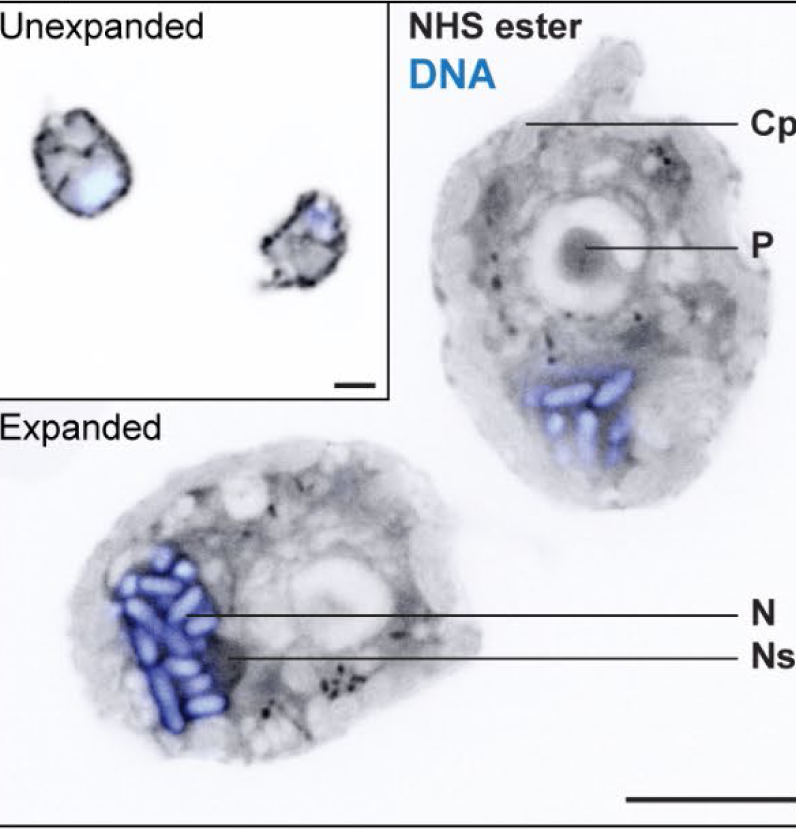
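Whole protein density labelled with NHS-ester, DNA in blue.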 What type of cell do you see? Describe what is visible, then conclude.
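Dinoflagellate. The nucleus holds many condensed rod-shaped chromosomes shown in blue. A round pyrenoid with a ring-like halo lies in the cytoplasm.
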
